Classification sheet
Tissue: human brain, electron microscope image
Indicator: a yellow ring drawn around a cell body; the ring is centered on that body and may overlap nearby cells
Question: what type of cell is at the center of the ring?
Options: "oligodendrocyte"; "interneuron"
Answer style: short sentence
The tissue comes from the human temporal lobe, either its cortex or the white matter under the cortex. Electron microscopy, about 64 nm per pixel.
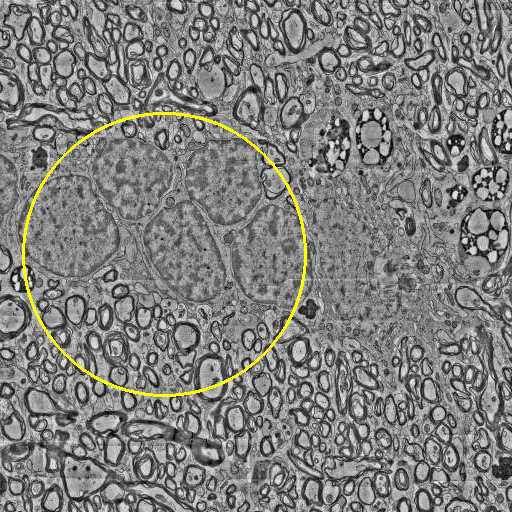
At the ring's center is an oligodendrocyte.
